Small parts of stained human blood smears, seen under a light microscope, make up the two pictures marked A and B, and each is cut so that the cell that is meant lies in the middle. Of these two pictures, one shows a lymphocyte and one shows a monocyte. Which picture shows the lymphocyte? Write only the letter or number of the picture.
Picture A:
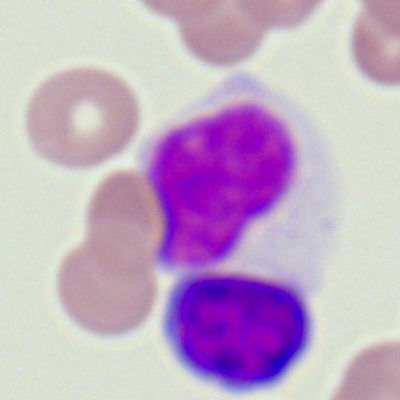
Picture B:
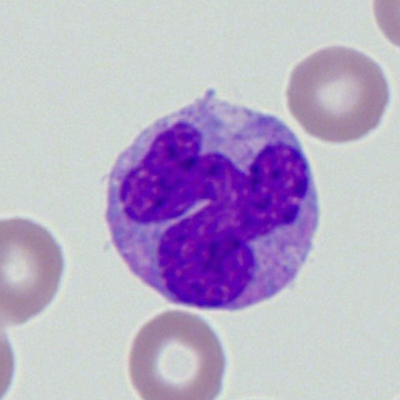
A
